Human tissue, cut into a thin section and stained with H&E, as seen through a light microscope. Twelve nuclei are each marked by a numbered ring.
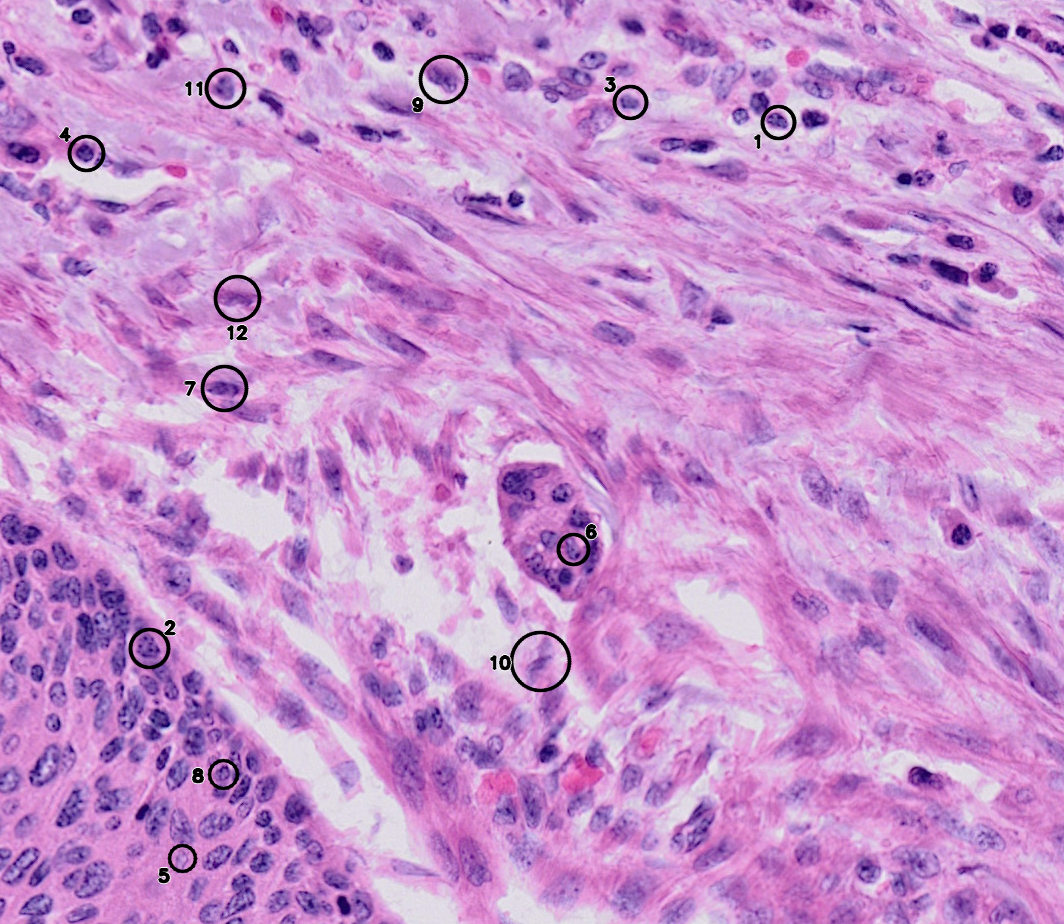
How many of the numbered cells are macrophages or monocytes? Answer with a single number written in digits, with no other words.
3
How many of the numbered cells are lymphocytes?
3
